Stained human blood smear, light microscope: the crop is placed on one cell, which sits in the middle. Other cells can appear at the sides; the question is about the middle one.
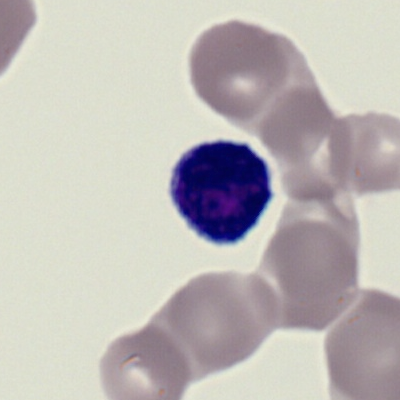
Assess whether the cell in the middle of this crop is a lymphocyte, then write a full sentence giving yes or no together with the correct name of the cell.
Yes, it is a lymphocyte that lies in the middle.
